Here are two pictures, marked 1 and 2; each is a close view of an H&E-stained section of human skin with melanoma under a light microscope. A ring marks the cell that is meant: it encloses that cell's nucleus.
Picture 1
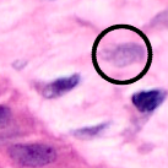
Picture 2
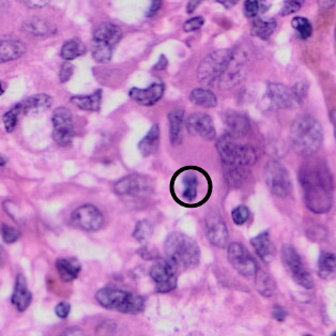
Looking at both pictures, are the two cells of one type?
no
